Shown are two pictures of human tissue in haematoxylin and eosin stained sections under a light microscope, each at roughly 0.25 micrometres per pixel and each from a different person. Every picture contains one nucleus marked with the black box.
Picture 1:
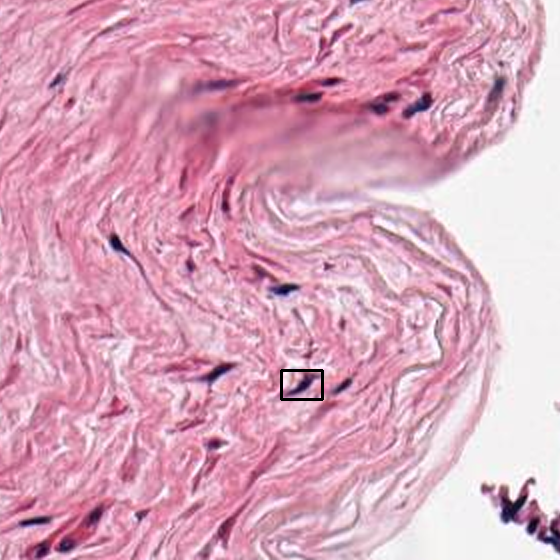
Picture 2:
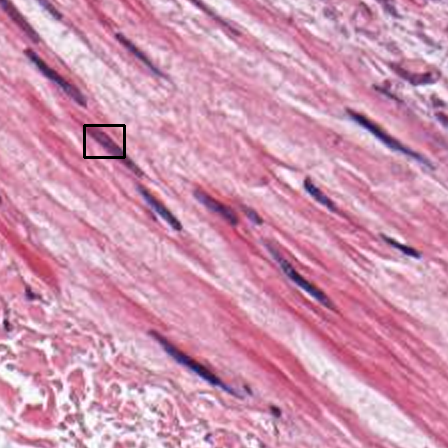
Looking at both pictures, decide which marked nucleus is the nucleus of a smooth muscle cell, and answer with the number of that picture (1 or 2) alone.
2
